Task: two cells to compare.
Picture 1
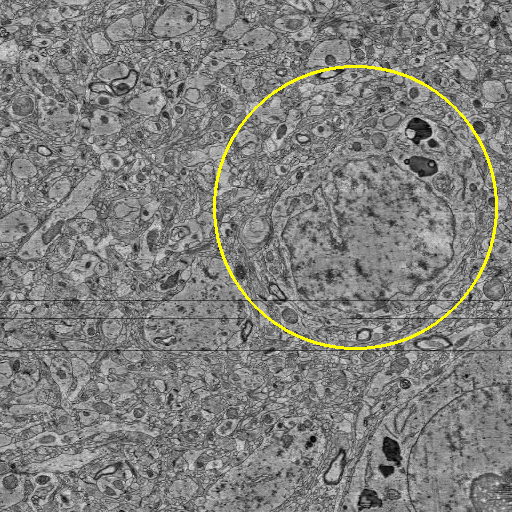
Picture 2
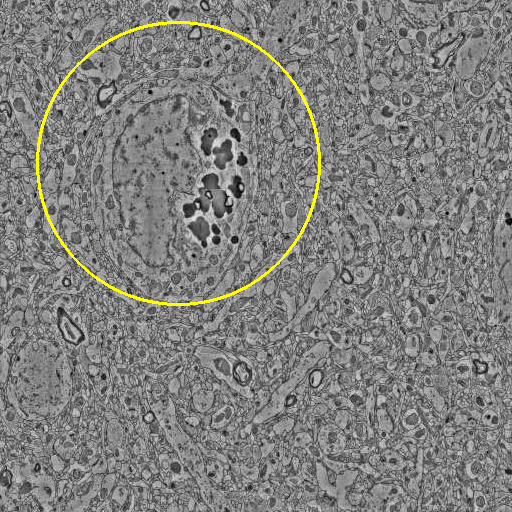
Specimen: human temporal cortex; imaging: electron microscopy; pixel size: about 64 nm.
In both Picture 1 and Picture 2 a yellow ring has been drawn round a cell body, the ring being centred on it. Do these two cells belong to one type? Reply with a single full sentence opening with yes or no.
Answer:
Yes, the two cells at the ring centres in Picture 1 and Picture 2 share one type.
